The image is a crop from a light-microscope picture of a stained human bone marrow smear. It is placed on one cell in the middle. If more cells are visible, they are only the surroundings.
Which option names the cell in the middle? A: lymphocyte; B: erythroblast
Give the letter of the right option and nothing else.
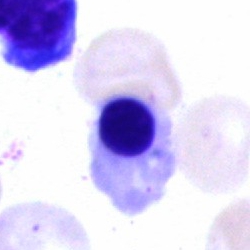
B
